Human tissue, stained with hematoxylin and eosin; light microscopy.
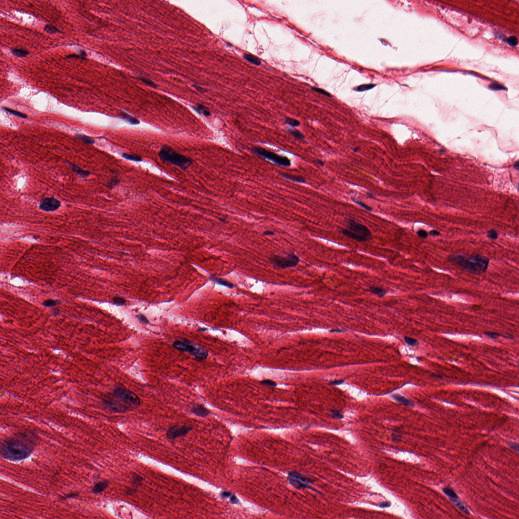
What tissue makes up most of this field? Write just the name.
myocardium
